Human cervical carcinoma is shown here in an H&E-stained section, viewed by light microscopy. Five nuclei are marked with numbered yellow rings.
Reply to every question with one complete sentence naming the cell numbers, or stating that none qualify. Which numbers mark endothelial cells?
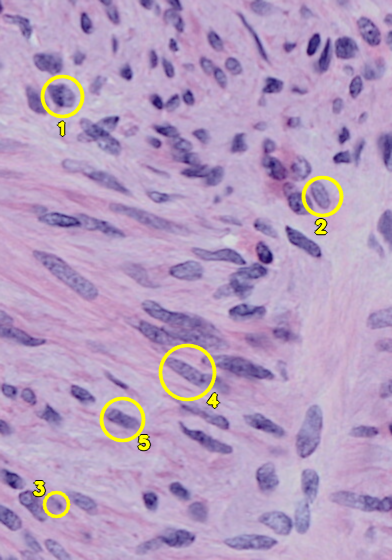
Where the numbered cells are concerned, only number 2 is an endothelial cell.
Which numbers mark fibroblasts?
Among the numbered cells, the one that is a fibroblast is cell 1 alone.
